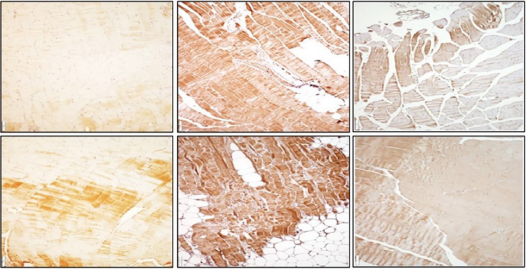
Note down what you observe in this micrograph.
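Muscle tissue made of long parallel fibres arranged in bundles separated by thin pale clefts. The intensity of the brown stain differs markedly between fields, from a faint beige to a deep brown that fills the fibres. In some fields the fibres are cut lengthwise and in others they appear more fragmented into irregular blocks. In one field a cluster of empty, rounded polygonal spaces with thin walls lies at the edge of the muscle, resembling fat cells. Nuclei are not clearly resolved at this magnification.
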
